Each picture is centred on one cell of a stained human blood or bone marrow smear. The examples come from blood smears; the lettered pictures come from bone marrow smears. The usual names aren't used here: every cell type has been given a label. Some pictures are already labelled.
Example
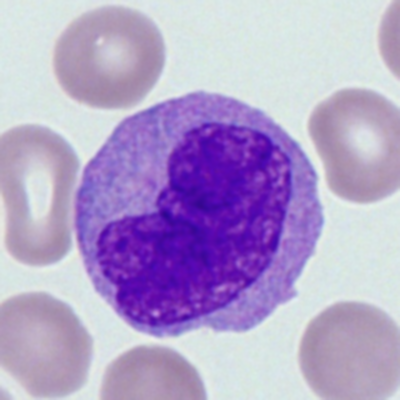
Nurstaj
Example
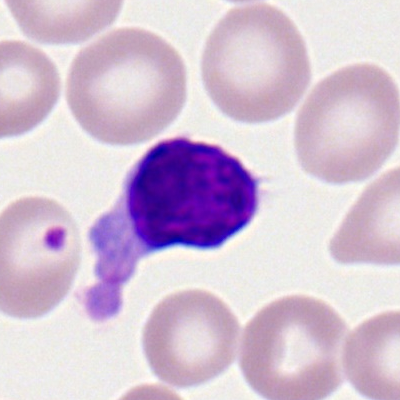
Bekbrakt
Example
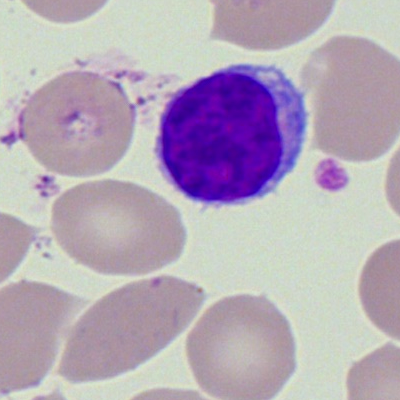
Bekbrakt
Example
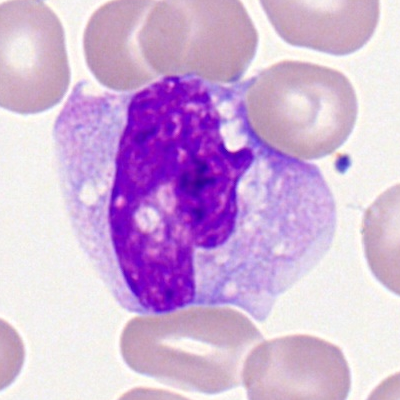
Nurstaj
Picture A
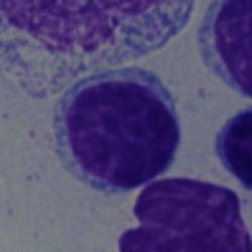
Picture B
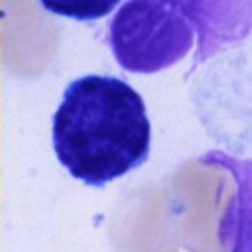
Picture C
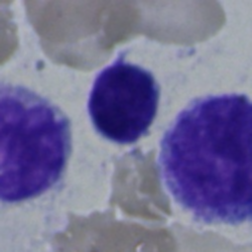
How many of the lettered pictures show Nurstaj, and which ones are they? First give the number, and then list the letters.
0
